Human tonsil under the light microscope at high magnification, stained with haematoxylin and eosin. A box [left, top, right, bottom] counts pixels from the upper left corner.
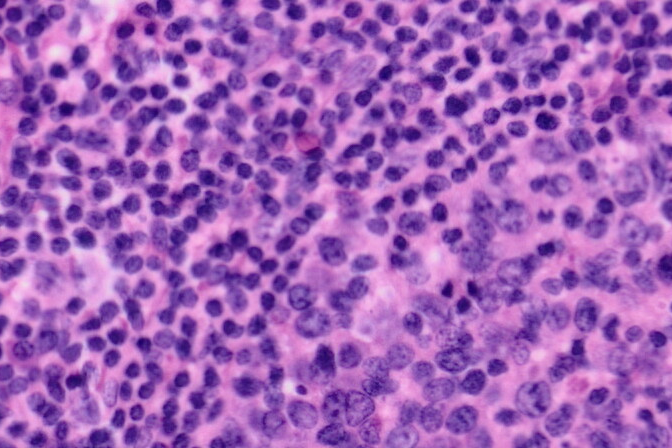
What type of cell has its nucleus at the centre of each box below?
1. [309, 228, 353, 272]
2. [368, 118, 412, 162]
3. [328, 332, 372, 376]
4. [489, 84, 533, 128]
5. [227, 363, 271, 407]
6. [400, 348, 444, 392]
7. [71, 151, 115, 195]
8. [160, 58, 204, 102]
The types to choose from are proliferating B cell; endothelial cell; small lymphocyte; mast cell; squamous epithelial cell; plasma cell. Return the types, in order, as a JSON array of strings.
["proliferating B cell", "small lymphocyte", "proliferating B cell", "small lymphocyte", "proliferating B cell", "proliferating B cell", "small lymphocyte", "small lymphocyte"]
